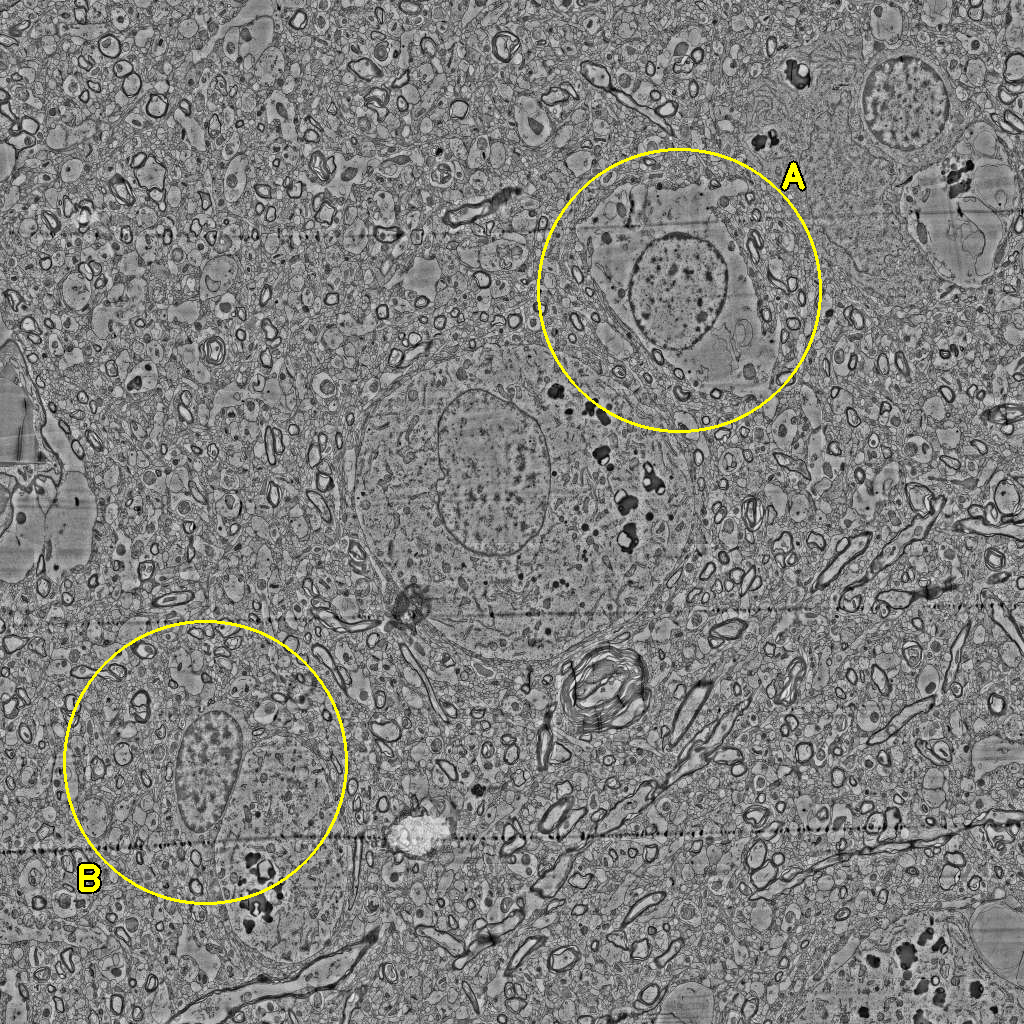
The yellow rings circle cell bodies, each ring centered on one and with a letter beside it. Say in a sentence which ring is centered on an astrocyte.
Ring A is centered on it.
